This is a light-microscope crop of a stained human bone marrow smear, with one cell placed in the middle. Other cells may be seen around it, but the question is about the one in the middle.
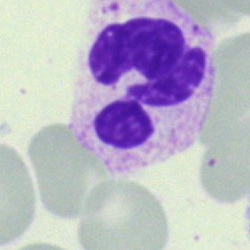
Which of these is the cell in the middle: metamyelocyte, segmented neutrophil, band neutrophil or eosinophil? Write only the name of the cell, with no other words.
segmented neutrophil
